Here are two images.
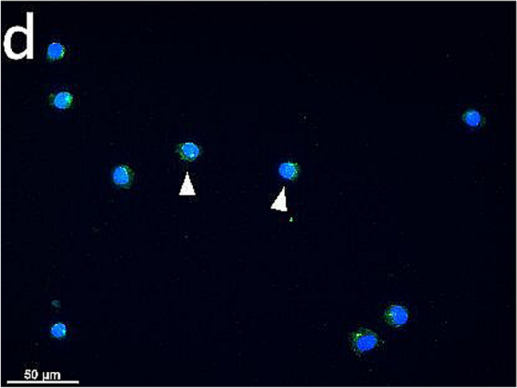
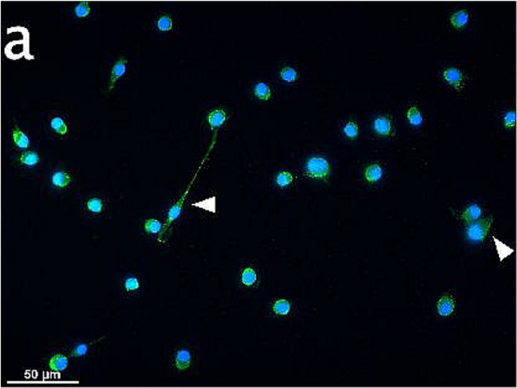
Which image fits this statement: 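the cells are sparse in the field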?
The first image.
